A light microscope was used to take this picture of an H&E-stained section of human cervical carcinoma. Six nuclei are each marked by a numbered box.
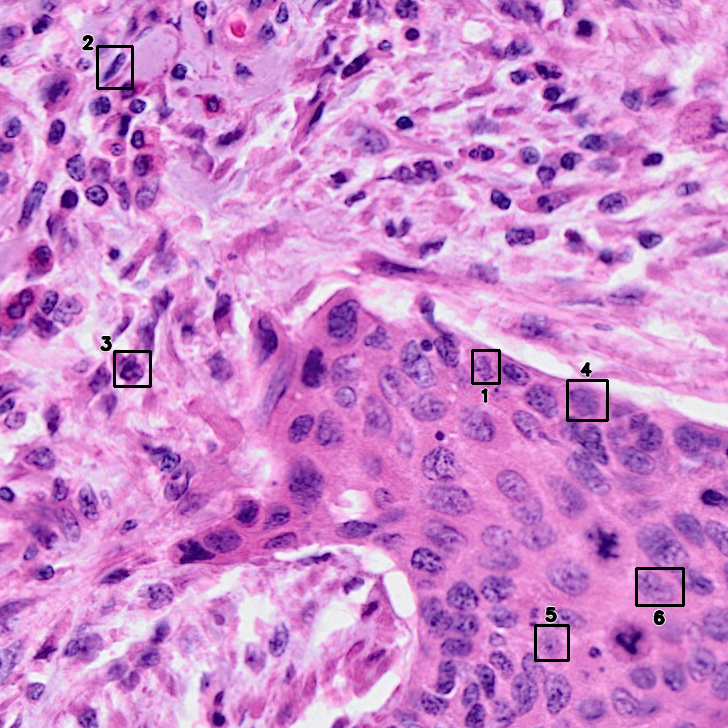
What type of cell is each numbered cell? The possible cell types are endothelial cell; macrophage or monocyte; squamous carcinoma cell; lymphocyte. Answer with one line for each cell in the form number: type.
1: squamous carcinoma cell
2: lymphocyte
3: macrophage or monocyte
4: squamous carcinoma cell
5: squamous carcinoma cell
6: squamous carcinoma cell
